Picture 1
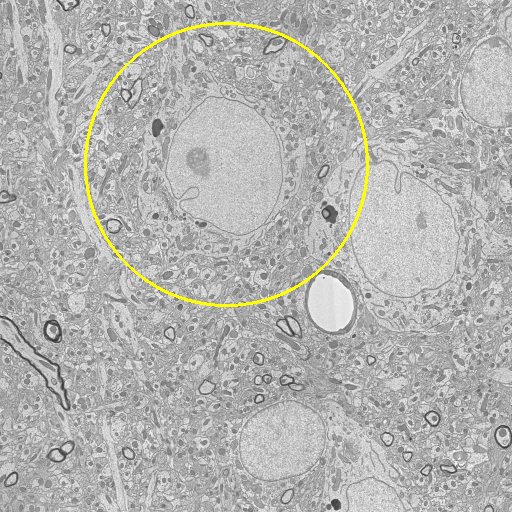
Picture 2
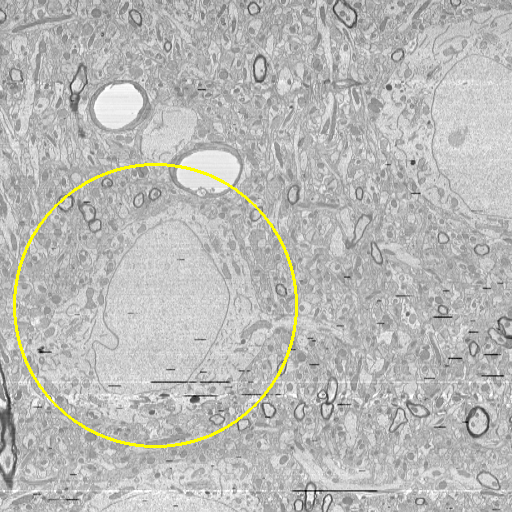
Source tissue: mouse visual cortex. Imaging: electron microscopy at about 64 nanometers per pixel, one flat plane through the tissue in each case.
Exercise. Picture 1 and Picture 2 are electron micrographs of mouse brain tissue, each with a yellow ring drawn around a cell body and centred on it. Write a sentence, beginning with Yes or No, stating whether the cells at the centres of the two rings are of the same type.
Yes, the cells at the centres of both rings are of the same type.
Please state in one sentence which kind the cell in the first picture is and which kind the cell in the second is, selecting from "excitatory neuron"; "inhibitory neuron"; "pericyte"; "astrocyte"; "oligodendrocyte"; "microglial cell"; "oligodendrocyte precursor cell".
The first and the second cell are each an excitatory neuron.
